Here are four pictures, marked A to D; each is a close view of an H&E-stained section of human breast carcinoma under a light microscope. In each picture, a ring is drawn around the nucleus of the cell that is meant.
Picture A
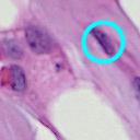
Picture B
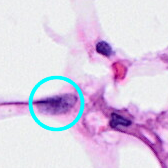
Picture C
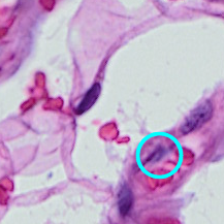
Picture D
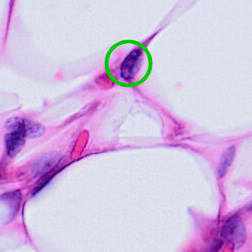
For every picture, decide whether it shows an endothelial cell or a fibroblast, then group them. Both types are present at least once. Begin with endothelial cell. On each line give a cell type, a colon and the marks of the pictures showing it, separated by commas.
endothelial cell: C, D
fibroblast: A, B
